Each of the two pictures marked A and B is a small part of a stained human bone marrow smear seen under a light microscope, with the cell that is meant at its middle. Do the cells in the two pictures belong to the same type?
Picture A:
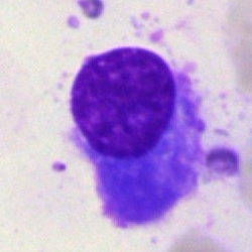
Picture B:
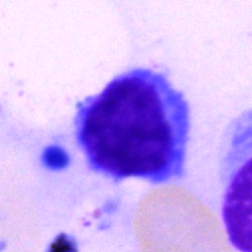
no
